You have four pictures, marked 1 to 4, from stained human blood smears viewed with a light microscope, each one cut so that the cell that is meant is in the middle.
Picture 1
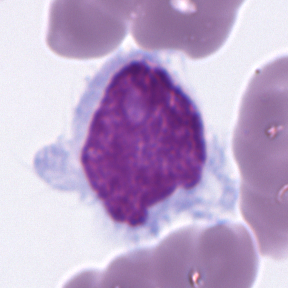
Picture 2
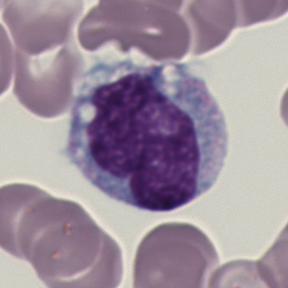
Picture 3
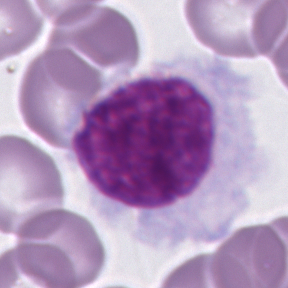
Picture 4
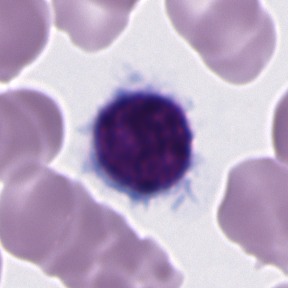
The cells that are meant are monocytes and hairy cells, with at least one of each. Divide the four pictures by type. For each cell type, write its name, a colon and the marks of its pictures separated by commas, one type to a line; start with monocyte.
monocyte: 2
hairy cell: 1, 3, 4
